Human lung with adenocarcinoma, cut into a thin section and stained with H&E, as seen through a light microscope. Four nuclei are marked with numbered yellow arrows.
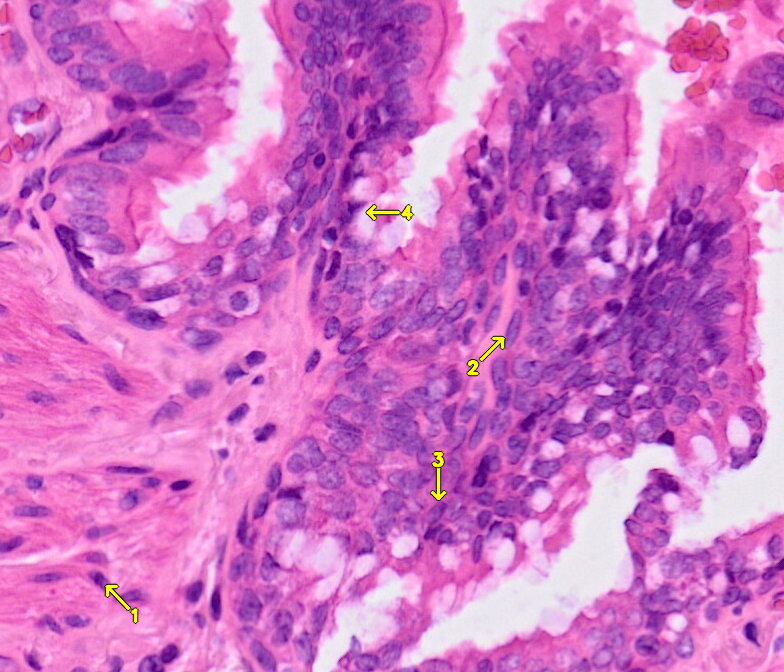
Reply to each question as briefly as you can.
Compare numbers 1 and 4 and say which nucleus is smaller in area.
1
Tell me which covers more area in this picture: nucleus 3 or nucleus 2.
2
